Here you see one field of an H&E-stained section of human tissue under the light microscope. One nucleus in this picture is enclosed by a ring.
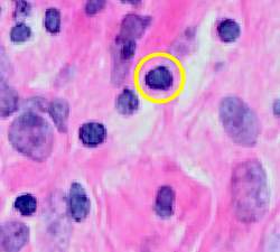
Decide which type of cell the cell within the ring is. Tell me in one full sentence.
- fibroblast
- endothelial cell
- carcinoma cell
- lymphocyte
Histopathologically, the cell within the ring is a lymphocyte.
